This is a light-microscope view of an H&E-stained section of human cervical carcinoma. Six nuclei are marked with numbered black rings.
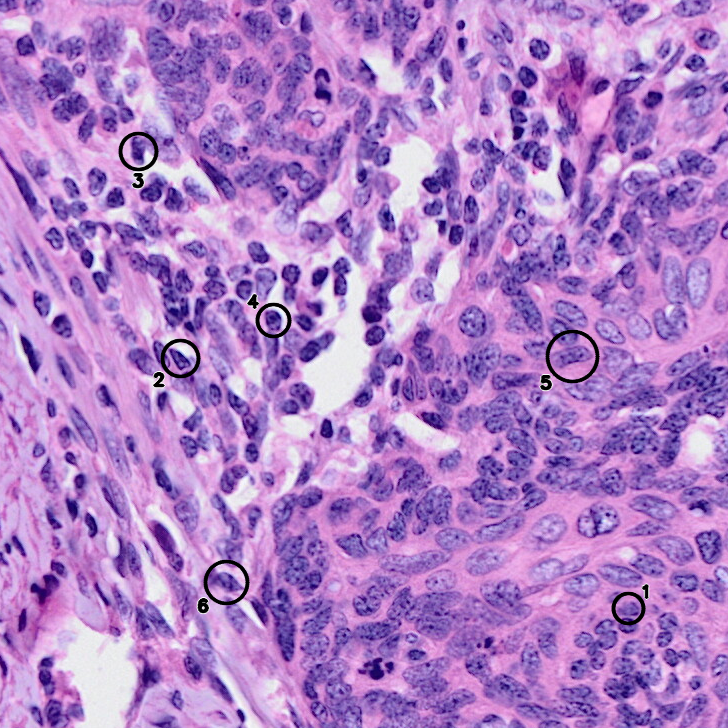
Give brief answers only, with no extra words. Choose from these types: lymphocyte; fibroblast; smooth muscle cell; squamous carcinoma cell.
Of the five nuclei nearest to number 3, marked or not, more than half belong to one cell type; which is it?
lymphocyte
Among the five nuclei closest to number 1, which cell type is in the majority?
squamous carcinoma cell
